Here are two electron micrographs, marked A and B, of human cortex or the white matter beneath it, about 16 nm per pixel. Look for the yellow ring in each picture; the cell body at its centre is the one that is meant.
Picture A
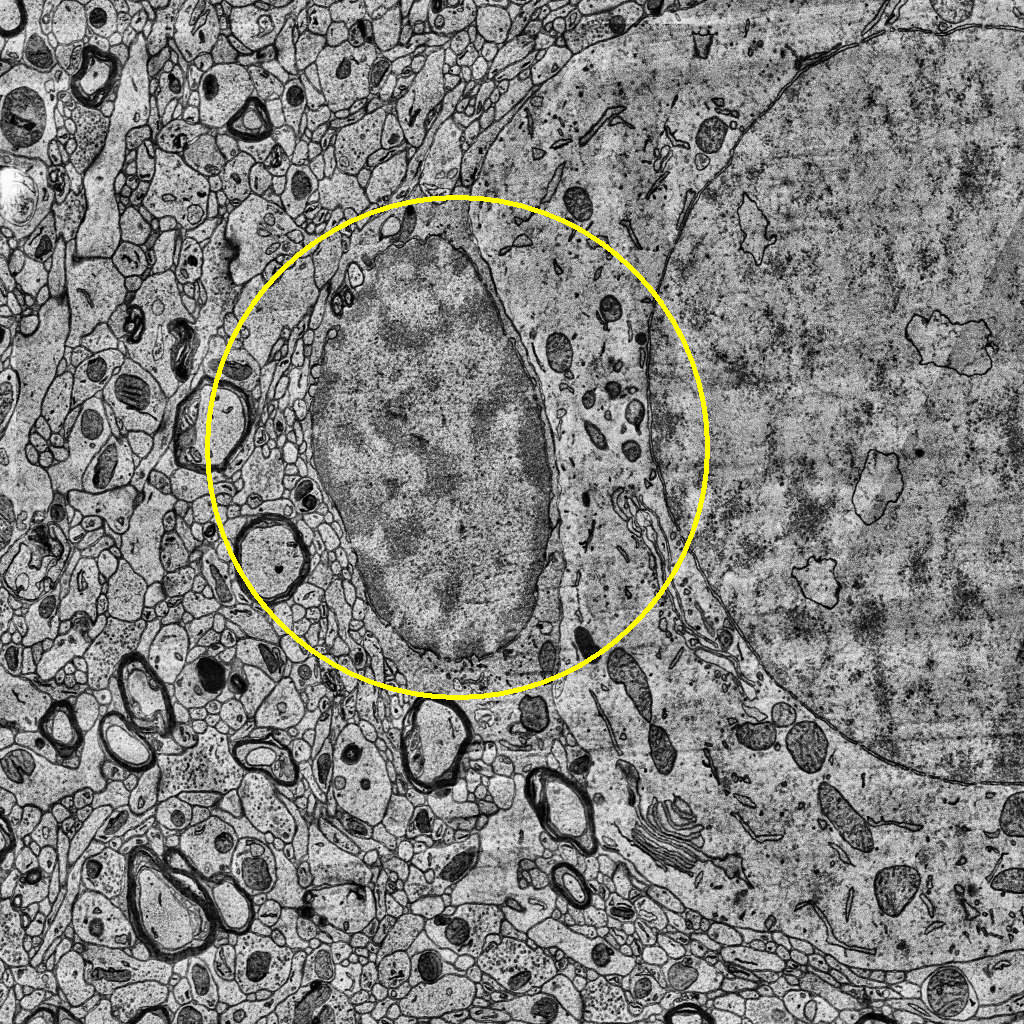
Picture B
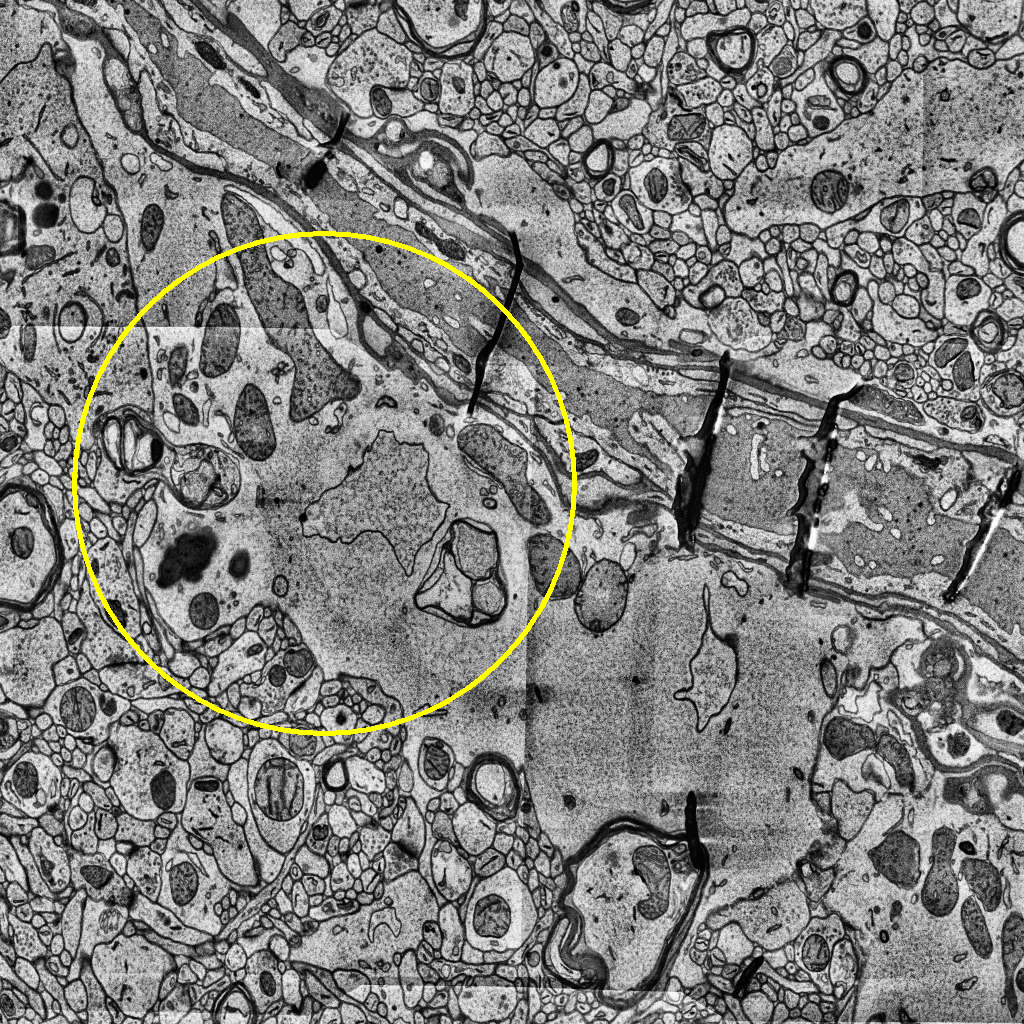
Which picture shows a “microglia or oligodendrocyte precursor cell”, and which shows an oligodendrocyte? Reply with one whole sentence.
It is picture A that shows an oligodendrocyte, and picture B that shows a “microglia or oligodendrocyte precursor cell”.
